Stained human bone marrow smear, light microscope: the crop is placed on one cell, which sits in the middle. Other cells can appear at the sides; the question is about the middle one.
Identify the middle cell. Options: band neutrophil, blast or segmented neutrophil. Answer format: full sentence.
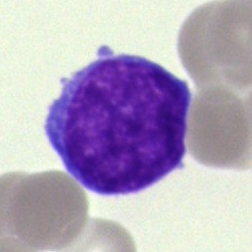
In the central position of this crop, the cell is a blast.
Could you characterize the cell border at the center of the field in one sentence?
The periphery of this cell is uneven, with ragged portions or projections.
